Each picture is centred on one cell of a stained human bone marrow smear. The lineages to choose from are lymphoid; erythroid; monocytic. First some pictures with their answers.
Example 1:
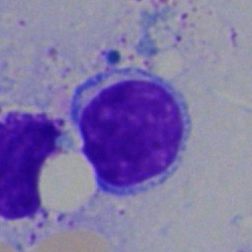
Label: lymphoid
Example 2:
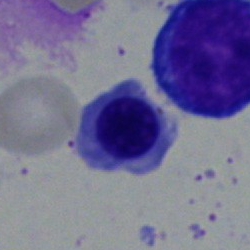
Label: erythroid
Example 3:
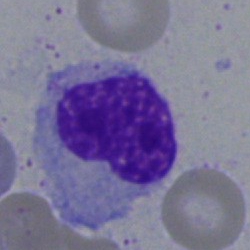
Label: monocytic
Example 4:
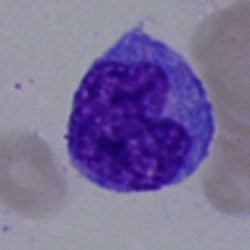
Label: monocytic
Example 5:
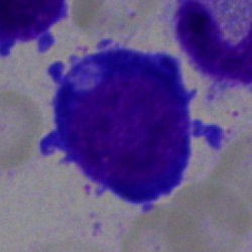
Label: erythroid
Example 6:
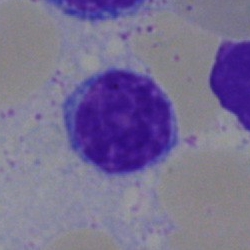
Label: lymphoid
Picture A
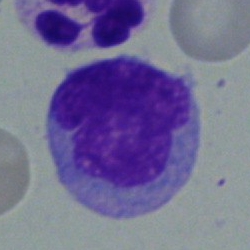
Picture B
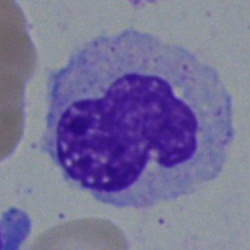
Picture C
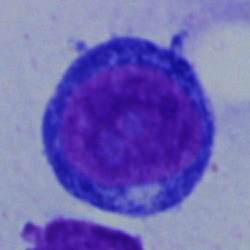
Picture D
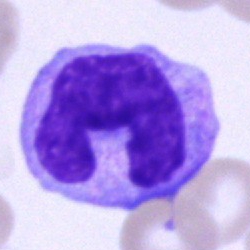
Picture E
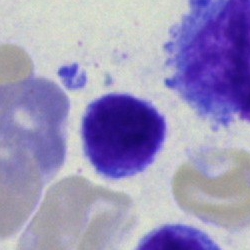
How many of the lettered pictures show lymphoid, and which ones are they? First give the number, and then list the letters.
Count: 1 (E)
